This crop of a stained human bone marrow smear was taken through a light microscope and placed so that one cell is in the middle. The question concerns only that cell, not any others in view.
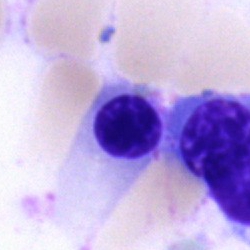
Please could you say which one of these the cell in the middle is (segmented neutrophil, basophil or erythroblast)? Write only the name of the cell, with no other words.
erythroblast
